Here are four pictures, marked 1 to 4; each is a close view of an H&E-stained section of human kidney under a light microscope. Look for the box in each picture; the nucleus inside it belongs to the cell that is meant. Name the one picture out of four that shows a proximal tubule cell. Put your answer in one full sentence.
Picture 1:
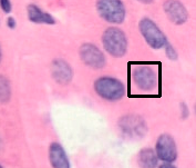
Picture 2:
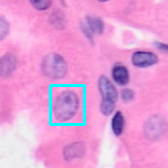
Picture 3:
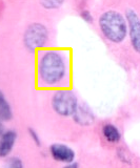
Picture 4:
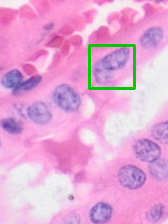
It is picture 2 that shows the proximal tubule cell.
